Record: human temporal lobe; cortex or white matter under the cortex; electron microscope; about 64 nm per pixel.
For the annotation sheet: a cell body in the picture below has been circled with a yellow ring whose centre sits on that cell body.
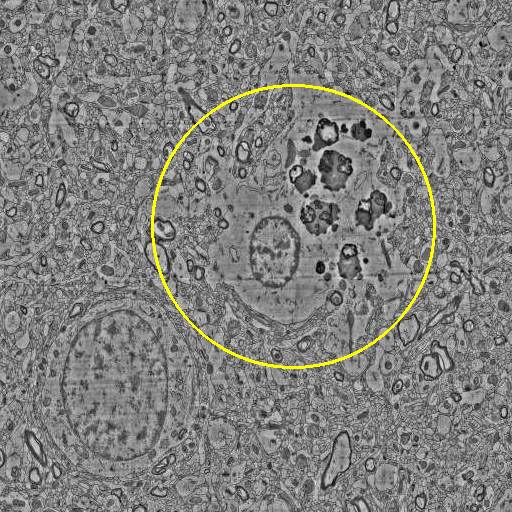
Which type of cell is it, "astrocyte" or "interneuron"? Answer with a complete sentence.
The circled cell is an astrocyte.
